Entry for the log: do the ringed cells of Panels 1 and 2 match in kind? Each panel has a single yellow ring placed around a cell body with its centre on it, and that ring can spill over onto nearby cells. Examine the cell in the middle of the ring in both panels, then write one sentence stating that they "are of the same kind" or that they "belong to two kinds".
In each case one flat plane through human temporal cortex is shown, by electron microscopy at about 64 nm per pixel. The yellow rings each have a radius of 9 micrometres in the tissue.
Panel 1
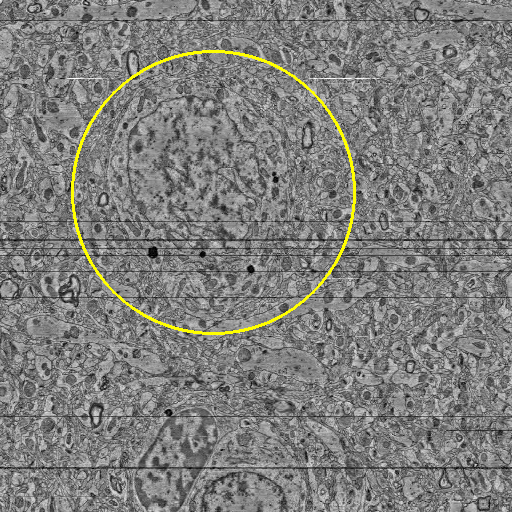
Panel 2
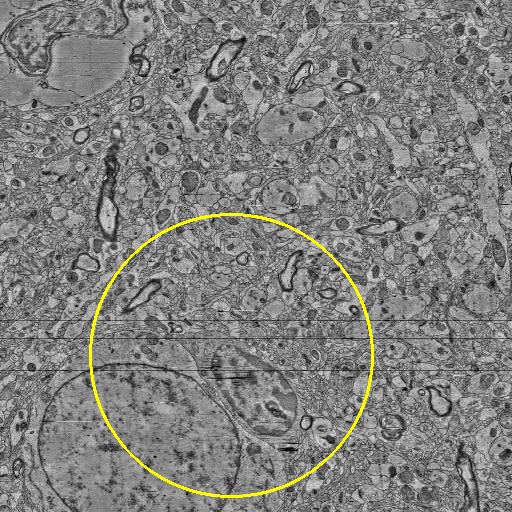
The centre cell of Panel 1's ring and that of Panel 2's ring belong to two kinds.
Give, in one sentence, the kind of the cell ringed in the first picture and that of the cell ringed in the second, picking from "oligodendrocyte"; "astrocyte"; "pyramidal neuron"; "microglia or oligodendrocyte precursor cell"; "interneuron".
For the first picture it is an interneuron; for the second, an oligodendrocyte.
